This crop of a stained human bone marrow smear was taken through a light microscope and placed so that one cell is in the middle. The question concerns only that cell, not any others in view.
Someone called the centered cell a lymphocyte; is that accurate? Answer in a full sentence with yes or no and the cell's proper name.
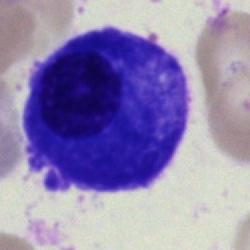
No, the cell sitting in the middle is a plasma cell, and it is not a lymphocyte.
